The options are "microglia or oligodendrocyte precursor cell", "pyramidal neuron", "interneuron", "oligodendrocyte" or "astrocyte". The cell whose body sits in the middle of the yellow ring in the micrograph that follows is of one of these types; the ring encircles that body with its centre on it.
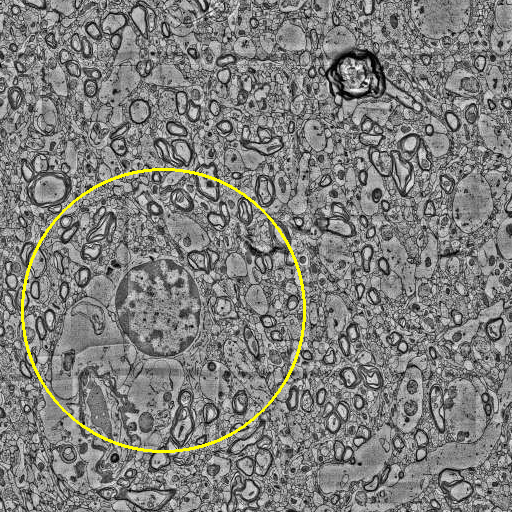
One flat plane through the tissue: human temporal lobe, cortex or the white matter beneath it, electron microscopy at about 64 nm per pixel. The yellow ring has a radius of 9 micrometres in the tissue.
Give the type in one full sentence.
Going by the micrograph, the cell centred in the yellow ring is a microglial cell or oligodendrocyte precursor cell.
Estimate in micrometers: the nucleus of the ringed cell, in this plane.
About 6 micrometers across, in this plane.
